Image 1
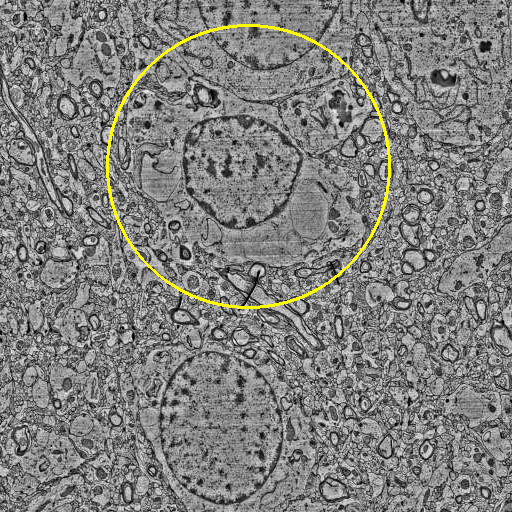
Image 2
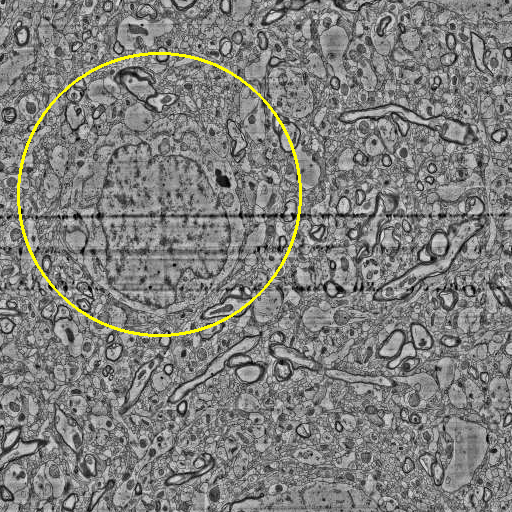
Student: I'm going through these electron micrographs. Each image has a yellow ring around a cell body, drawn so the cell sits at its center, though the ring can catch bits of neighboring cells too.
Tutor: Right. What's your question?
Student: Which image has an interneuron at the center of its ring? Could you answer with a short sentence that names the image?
Image 2 shows it at the center of its ring.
